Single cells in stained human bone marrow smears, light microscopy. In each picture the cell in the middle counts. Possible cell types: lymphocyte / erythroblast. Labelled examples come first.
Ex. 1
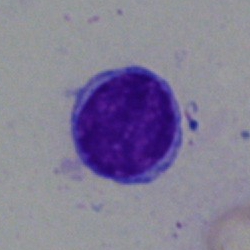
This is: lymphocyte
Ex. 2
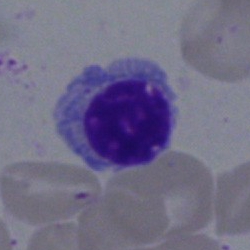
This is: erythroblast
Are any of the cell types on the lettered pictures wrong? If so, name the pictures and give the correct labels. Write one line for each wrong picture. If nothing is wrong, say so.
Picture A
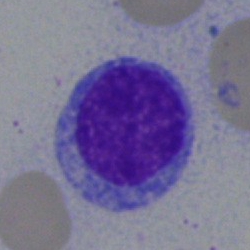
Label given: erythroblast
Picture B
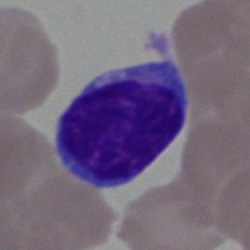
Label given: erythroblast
A: not erythroblast but lymphocyte
B: not erythroblast but lymphocyte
